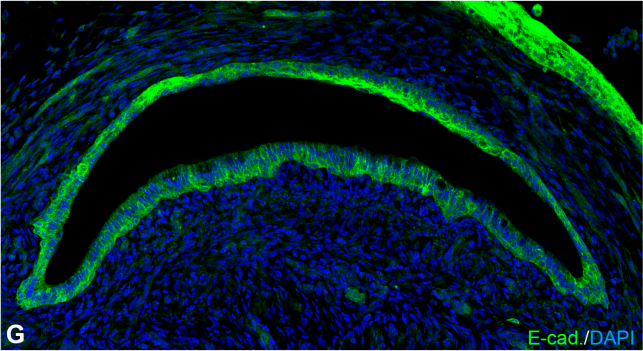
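A wide, crescent-shaped lumen is lined by a continuous green-stained epithelium made of closely packed cells with elongated nuclei. Around the epithelium lies dense mesenchymal tissue with many blue nuclei, and no round cell-filled buds or follicles extend from the epithelial lining.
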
